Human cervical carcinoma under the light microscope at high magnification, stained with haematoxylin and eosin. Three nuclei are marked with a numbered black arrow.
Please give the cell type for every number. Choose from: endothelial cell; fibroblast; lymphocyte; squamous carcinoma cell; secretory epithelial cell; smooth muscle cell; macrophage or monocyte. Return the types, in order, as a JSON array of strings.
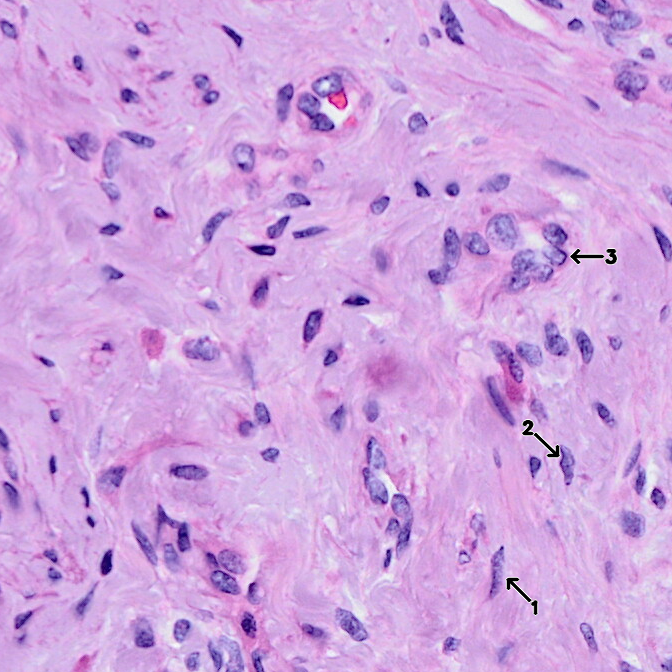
["fibroblast", "fibroblast", "endothelial cell"]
